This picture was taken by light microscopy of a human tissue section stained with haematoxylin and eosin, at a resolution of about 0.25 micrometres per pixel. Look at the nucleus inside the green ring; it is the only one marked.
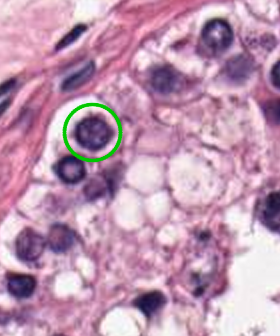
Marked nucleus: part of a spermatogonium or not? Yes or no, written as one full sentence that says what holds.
Yes, the nucleus marked in the image belongs to a spermatogonium.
